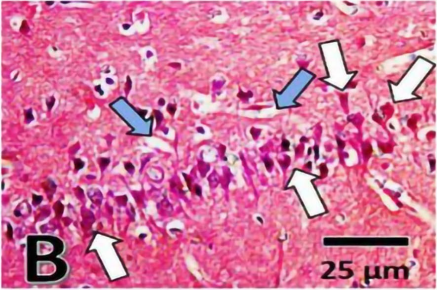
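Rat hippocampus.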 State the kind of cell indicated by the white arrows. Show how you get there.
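Small angular cells stained deep dark red-purple. Their nuclei cannot be made out from the dark cytoplasm. They lie in the cell band among paler cells.
Answer: shrunken darkly stained pyramidal cells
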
